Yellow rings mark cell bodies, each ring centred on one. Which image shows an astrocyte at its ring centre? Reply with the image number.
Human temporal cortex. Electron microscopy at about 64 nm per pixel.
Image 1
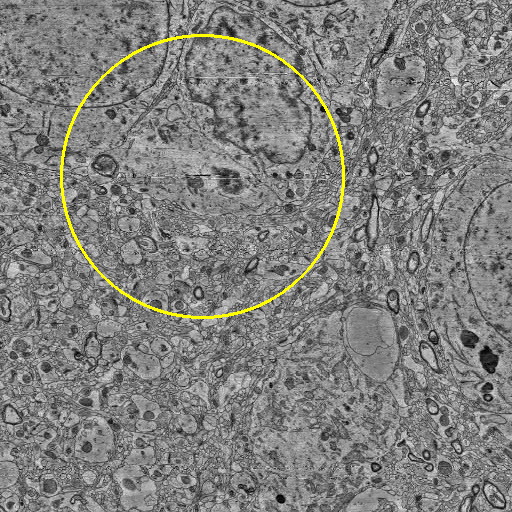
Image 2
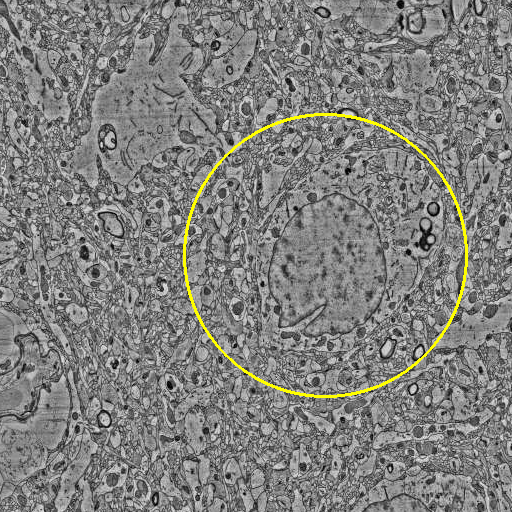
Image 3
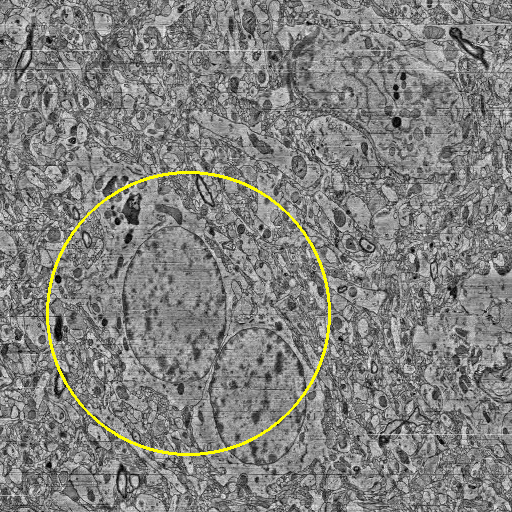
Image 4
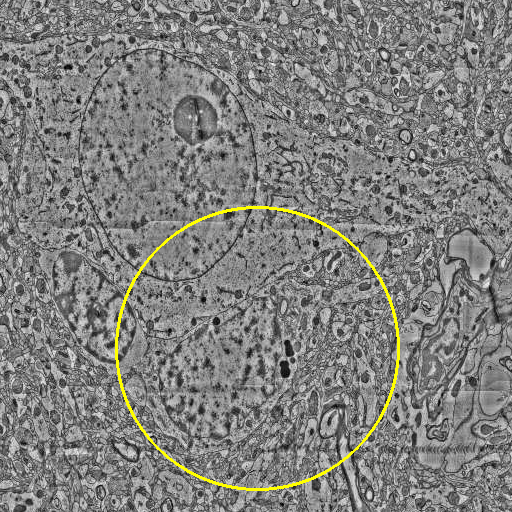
3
